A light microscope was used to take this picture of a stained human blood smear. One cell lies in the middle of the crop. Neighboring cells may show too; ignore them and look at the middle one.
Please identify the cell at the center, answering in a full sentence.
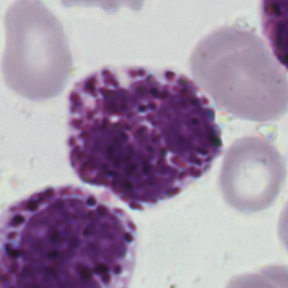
This crop has a basophil at its centre.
